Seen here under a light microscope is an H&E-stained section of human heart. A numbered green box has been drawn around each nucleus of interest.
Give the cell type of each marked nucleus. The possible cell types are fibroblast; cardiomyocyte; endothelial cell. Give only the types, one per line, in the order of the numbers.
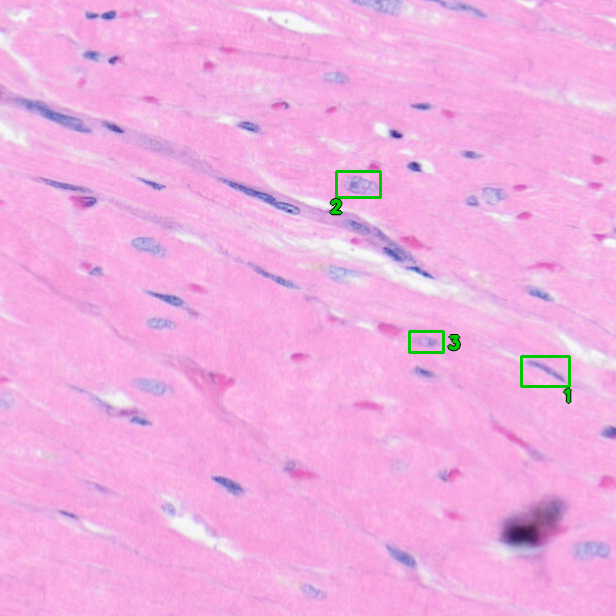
endothelial cell
cardiomyocyte
cardiomyocyte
